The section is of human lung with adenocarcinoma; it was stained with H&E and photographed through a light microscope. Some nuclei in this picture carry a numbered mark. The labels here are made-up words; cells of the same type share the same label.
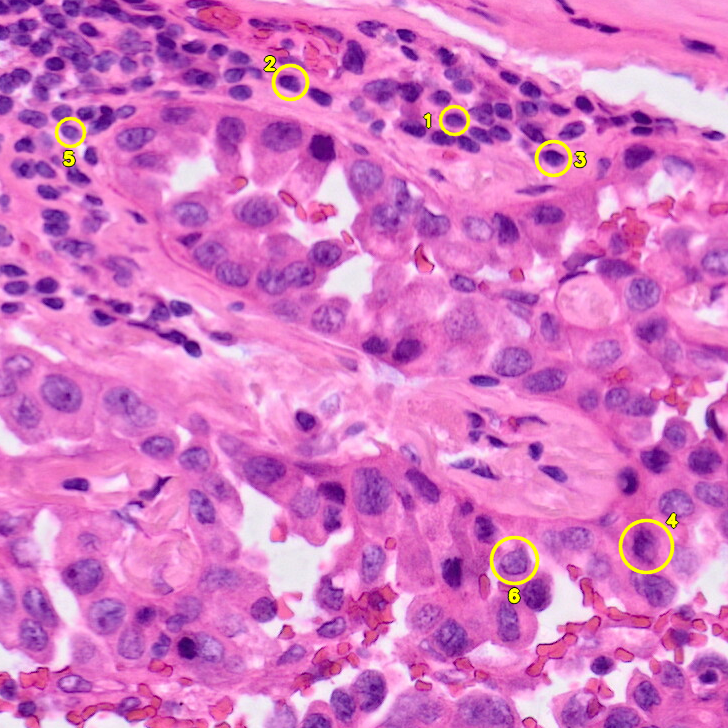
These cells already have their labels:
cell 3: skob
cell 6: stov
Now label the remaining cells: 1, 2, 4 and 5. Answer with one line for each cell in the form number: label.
1: skob
2: skob
4: stov
5: skob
